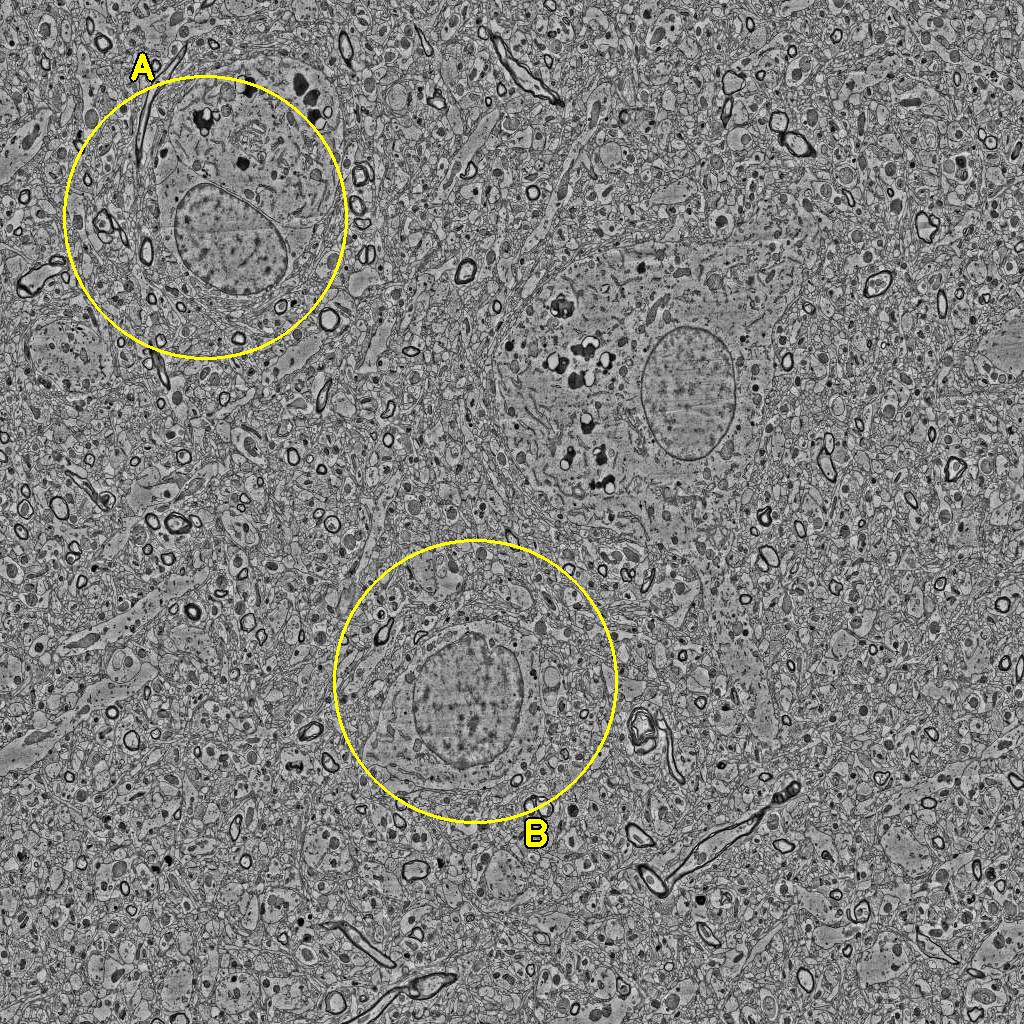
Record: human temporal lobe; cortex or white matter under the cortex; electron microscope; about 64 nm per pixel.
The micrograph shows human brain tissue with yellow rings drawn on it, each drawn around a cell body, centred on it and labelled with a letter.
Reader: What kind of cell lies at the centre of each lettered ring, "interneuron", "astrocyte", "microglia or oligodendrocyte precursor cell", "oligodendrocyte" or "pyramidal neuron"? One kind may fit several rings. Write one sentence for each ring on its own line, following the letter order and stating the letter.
At the centre of ring A lies a microglial cell or oligodendrocyte precursor cell.
At the centre of ring B lies an interneuron.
